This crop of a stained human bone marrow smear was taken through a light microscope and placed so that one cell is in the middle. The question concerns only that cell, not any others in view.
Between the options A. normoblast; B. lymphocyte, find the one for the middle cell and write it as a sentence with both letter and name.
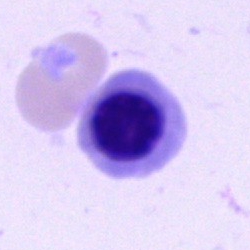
The cell at the centre is a normoblast, and option A accordingly is correct.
